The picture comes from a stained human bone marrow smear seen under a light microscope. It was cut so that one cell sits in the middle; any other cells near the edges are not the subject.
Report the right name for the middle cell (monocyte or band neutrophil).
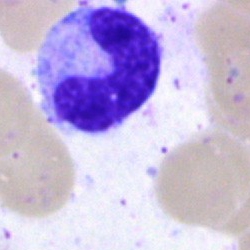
band neutrophil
